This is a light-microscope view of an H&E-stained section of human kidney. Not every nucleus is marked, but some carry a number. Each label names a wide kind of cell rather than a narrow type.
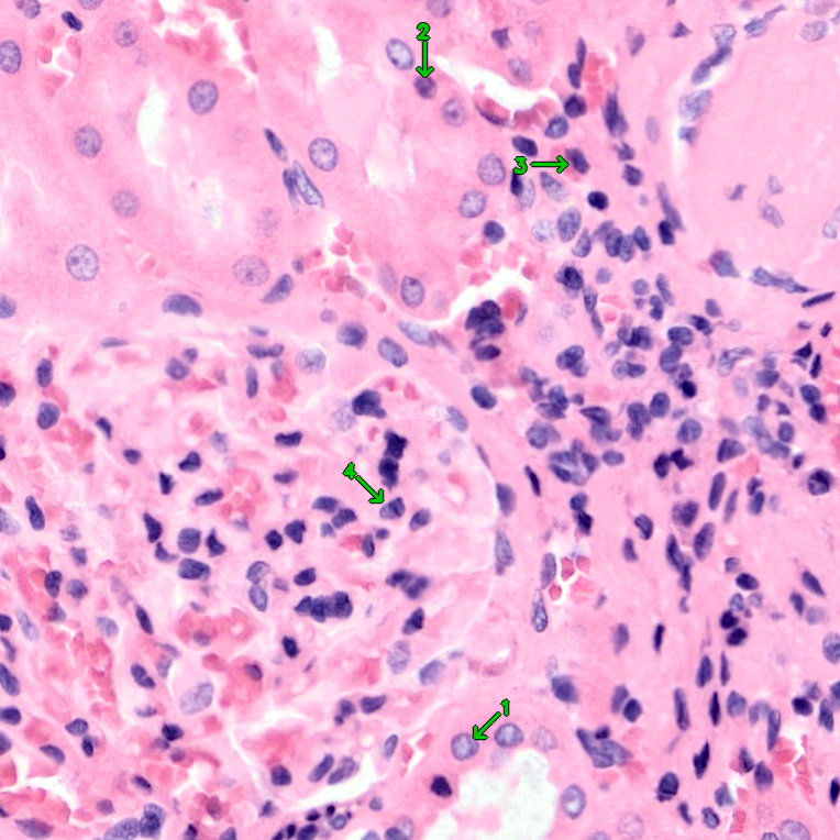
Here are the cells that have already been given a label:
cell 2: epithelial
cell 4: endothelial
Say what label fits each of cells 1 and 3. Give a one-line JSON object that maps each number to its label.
{"1": "epithelial", "3": "endothelial"}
